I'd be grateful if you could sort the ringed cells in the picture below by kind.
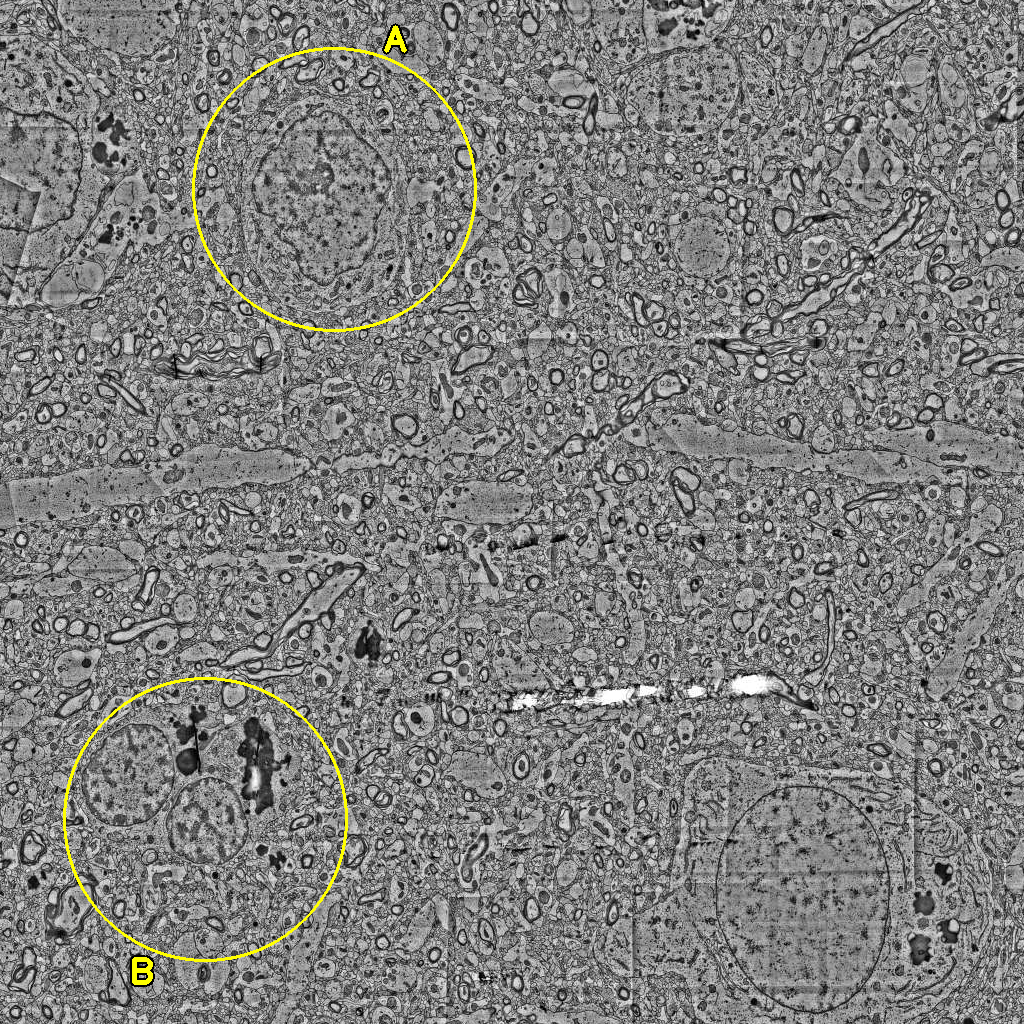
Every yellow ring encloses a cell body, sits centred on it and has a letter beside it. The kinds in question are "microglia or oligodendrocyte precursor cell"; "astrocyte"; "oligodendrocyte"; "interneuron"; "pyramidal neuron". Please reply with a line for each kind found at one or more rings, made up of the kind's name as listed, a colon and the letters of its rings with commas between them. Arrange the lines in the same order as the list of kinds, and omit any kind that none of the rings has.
oligodendrocyte: B
interneuron: A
